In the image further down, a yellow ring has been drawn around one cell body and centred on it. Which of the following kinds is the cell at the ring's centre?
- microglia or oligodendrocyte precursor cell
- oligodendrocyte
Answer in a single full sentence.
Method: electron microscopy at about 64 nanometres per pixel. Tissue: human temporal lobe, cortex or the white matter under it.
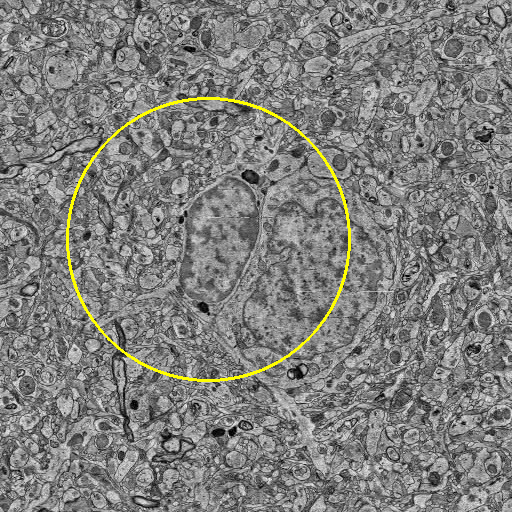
In the picture, the cell sitting at the centre of the yellow ring is a microglial cell or oligodendrocyte precursor cell.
